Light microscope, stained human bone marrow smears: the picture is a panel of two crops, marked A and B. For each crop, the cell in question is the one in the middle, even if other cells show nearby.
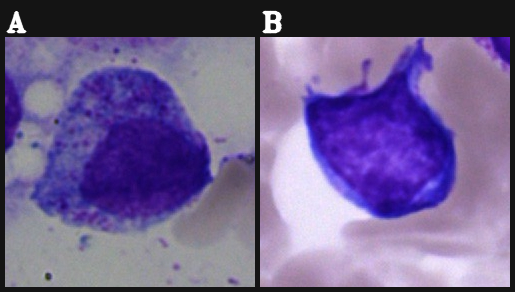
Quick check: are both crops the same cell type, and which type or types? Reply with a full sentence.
No, crop A features a promyelocyte, while crop B features a blast.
